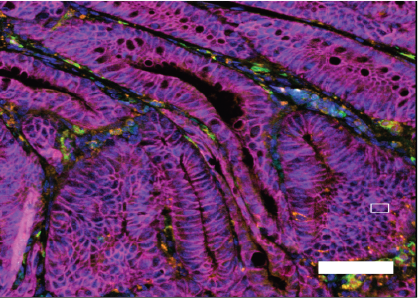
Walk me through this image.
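The epithelial cells are tall and crowded, their nuclei stacked along the gland walls. Thin strands of darker stroma run between the glands and carry a few scattered small green and cyan cells.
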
